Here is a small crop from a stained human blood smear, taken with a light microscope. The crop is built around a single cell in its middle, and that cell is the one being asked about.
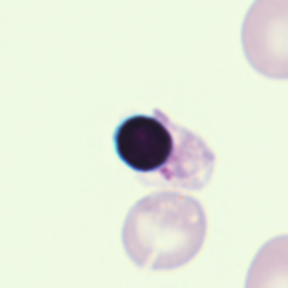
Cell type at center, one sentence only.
The cell of interest, in the center, is a normoblast.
